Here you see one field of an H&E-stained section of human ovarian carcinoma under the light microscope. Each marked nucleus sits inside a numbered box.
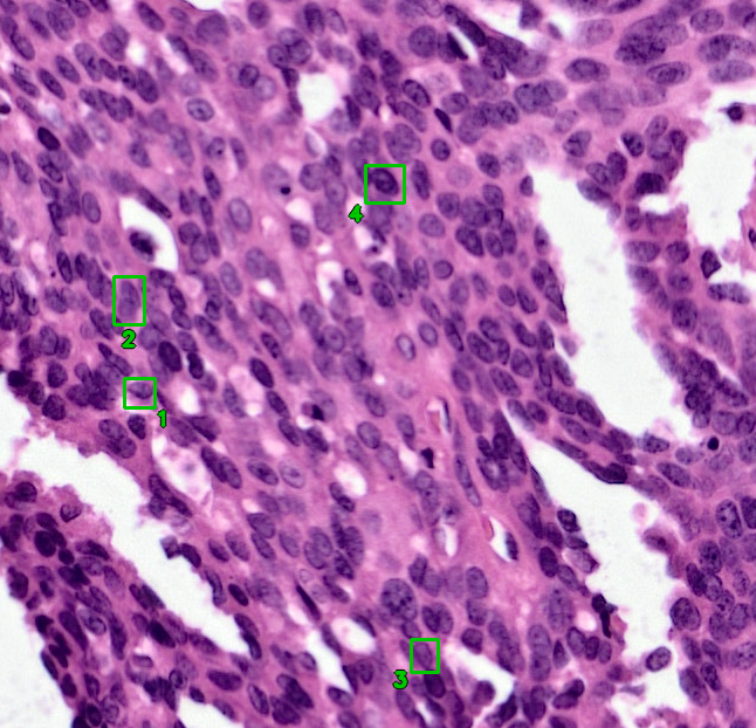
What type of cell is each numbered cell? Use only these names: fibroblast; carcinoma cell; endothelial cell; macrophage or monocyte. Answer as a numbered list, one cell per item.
1. macrophage or monocyte
2. carcinoma cell
3. carcinoma cell
4. carcinoma cell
